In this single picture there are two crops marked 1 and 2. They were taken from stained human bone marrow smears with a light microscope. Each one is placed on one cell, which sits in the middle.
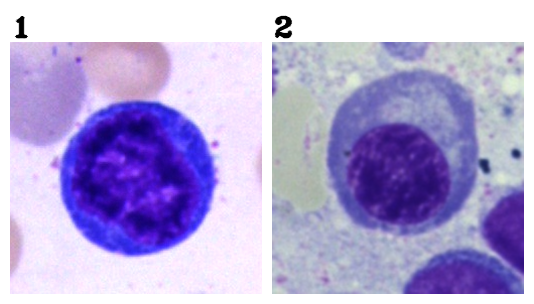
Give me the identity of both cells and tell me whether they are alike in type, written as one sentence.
No, crop 1 is where a proerythroblast is, and crop 2 is where a plasma cell is.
